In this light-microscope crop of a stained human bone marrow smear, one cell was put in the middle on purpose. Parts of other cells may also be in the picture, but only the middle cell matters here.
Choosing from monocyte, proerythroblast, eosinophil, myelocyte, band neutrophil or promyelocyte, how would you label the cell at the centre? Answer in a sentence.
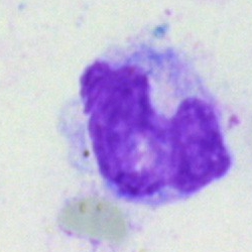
The cell shown in the center of this light-microscope crop is a monocyte.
